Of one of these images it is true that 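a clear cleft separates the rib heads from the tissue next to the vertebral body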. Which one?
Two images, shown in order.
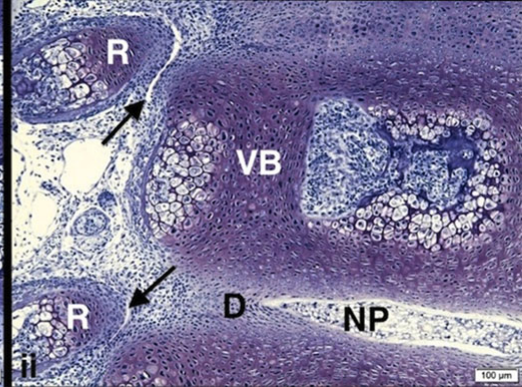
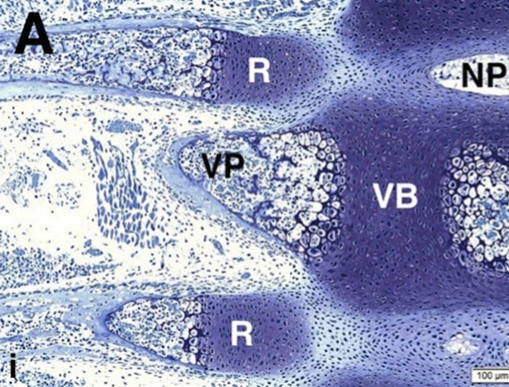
the first image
